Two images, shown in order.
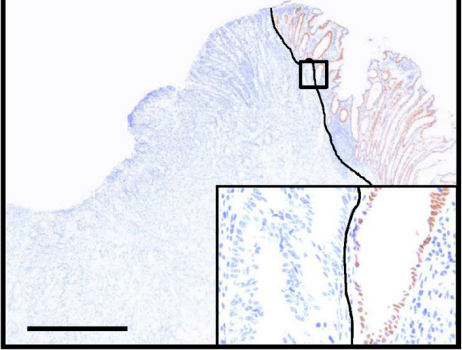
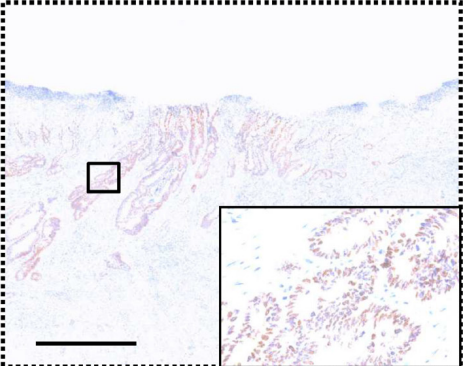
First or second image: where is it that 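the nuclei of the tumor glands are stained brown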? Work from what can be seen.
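The second image. Second image: nuclei of the irregular invading glands are brown.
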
